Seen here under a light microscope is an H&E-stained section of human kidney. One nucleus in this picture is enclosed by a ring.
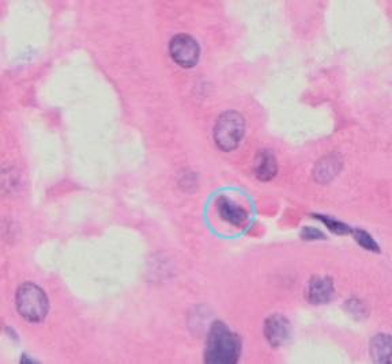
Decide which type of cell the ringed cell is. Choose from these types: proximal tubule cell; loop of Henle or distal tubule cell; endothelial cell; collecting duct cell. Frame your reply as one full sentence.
The classification of the ringed cell is as an endothelial cell.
